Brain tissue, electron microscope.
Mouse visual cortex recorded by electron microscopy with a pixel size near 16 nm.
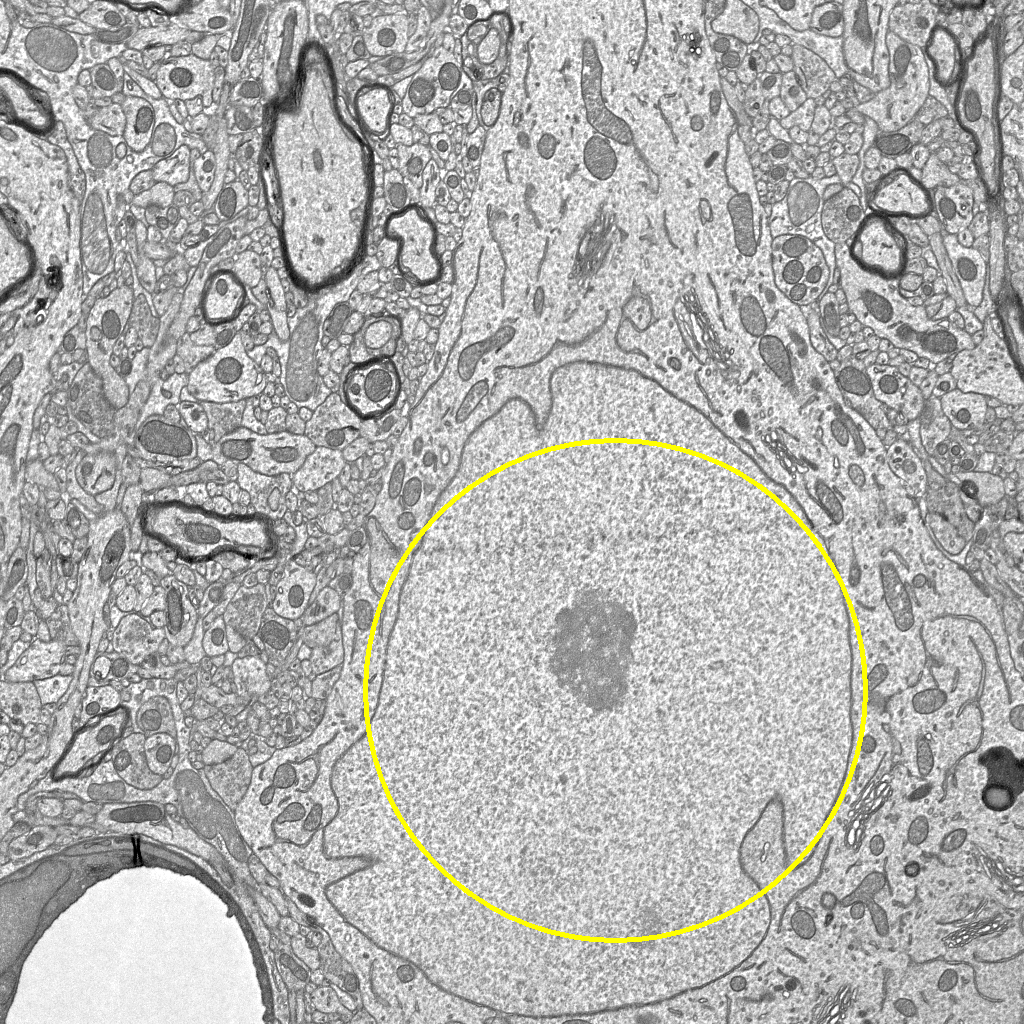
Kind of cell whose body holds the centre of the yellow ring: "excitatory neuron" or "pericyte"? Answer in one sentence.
The ring's centre falls on an excitatory neuron.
